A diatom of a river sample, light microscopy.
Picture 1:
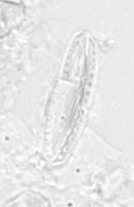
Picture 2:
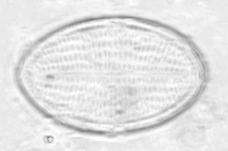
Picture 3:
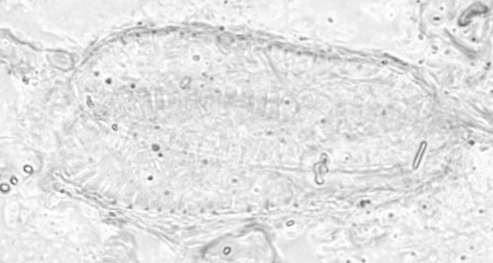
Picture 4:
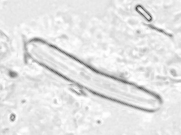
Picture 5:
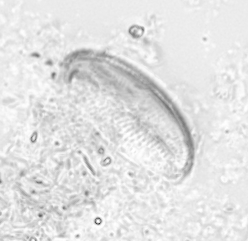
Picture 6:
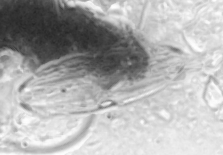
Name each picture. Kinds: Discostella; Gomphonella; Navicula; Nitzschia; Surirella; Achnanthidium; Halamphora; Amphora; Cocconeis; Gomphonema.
Picture 1: Nitzschia
Picture 2: Cocconeis
Picture 3: Surirella
Picture 4: Achnanthidium
Picture 5: Cocconeis
Picture 6: Halamphora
